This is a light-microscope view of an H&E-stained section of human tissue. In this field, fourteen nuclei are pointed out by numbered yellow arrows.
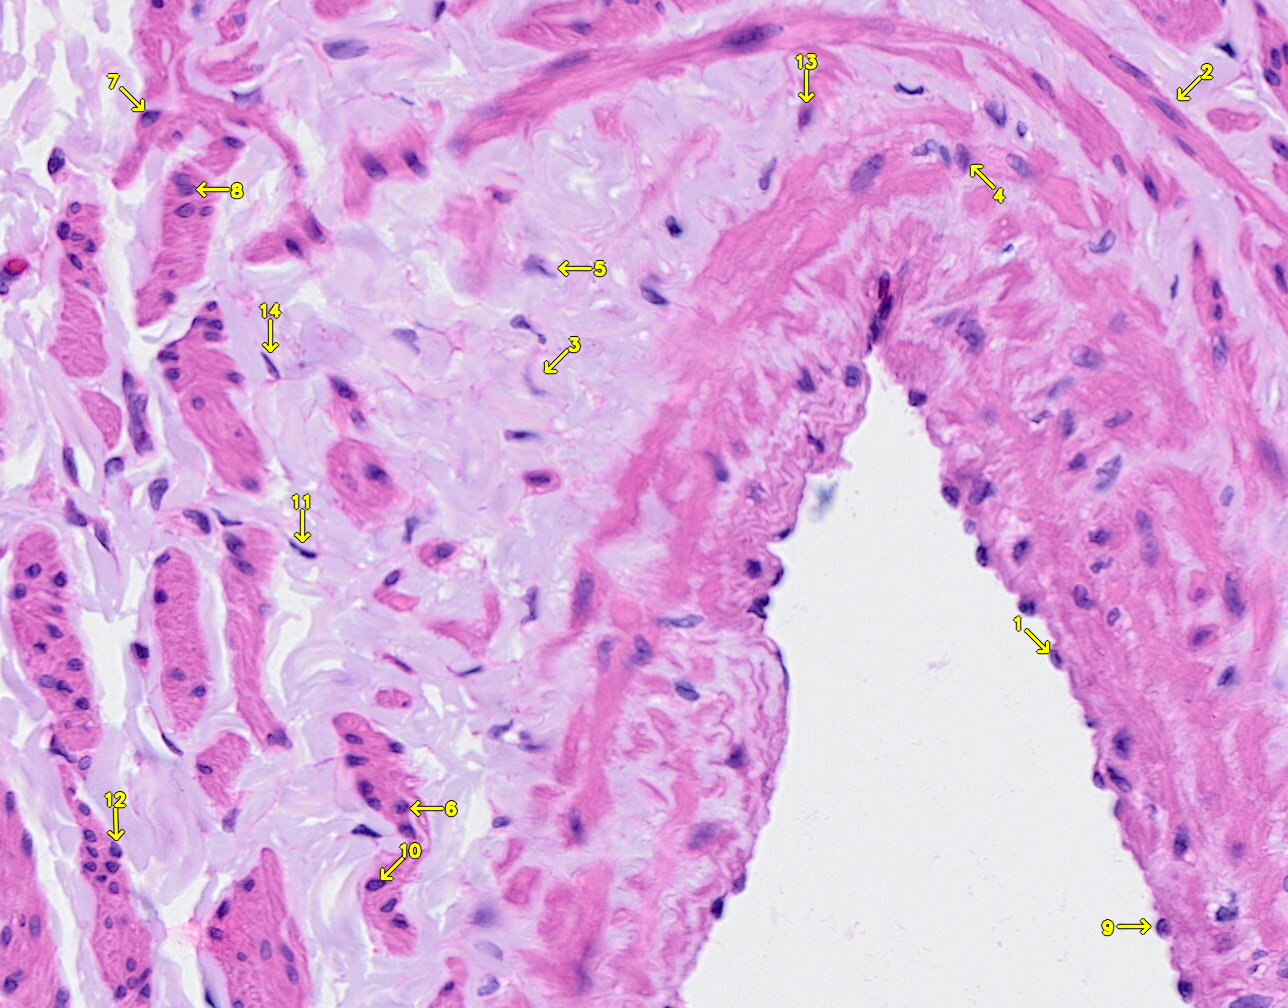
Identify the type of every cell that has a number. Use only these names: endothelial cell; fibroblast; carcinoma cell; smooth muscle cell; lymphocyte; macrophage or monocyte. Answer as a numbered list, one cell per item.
1. endothelial cell
2. smooth muscle cell
3. fibroblast
4. smooth muscle cell
5. fibroblast
6. smooth muscle cell
7. smooth muscle cell
8. smooth muscle cell
9. endothelial cell
10. smooth muscle cell
11. fibroblast
12. smooth muscle cell
13. smooth muscle cell
14. fibroblast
